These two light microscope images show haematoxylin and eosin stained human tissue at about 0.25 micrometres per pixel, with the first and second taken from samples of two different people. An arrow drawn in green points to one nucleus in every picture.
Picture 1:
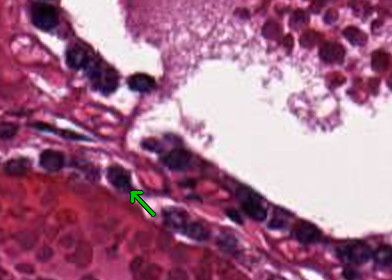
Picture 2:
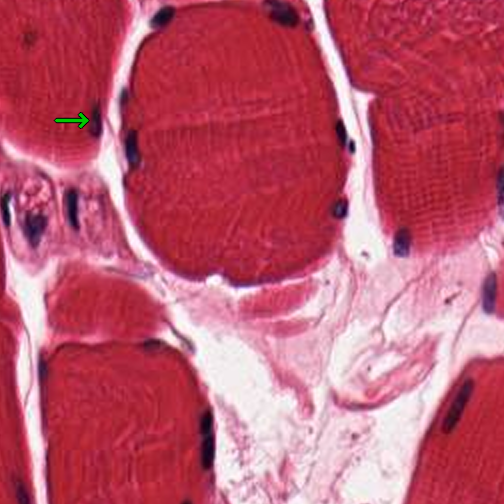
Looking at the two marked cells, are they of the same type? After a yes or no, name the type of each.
No, the first is a thyroid follicular cell and the second a skeletal muscle fibre.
